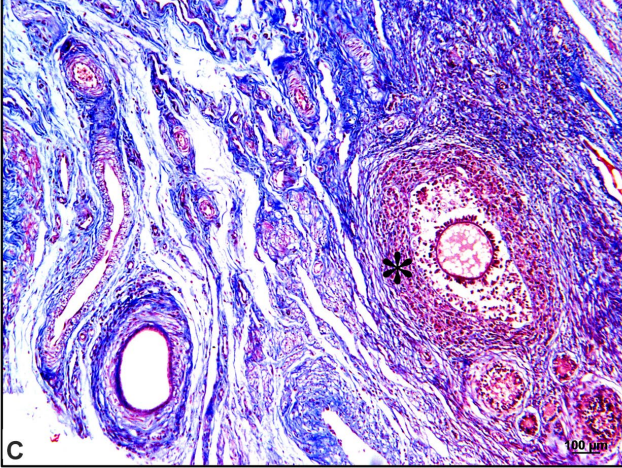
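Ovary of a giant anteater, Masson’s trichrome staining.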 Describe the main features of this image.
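Ovarian tissue with follicles set in blue-stained fibrous stroma. One large follicle has many layers of small red-staining cells around a clear central space that holds a round pale-pink body. Smaller round follicles with red-staining cells lie next to it. To the left, loose blue fibrous tissue contains several blood vessels, one with a thick wall and an empty lumen.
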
